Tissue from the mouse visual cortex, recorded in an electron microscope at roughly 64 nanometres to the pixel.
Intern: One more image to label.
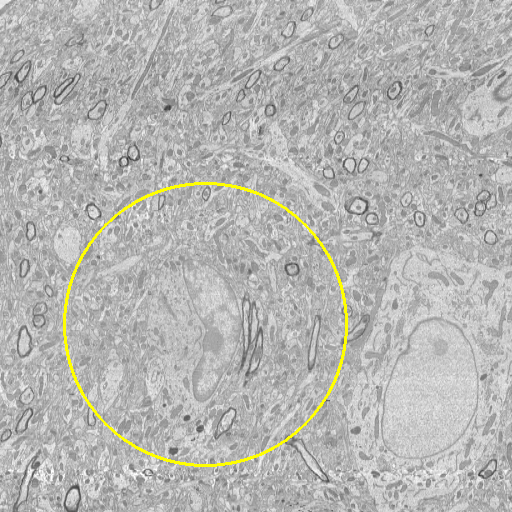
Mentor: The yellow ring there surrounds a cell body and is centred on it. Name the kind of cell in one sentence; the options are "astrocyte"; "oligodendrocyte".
The ring marks the cell body of an oligodendrocyte.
